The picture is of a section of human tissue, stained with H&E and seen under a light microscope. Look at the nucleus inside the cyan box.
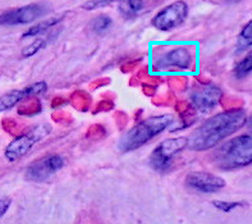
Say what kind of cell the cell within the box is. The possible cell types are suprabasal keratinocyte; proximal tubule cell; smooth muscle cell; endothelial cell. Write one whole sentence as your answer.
The identity of the cell within the box is that of an endothelial cell.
